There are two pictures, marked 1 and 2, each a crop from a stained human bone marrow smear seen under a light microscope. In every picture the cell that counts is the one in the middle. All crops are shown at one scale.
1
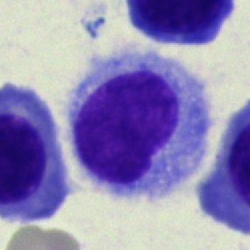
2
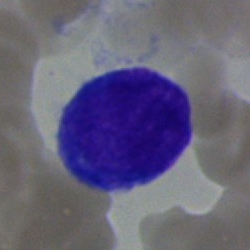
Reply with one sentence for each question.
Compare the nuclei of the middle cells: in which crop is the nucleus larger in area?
Picture 2 shows the larger nucleus; it covers about 1.5 times the area of the nucleus in picture 1.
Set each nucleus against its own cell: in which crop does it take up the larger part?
Of the two, the nucleus in picture 2 makes up the greater part of its cell.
